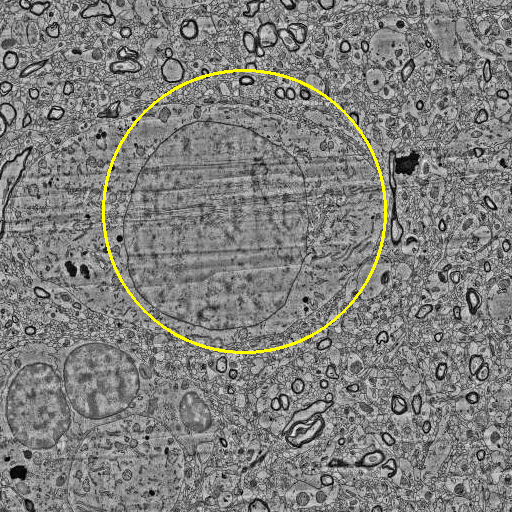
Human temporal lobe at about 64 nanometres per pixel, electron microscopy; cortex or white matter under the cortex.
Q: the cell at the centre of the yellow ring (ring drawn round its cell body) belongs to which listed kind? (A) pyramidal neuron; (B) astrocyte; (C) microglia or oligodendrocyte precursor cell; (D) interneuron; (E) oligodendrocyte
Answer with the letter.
A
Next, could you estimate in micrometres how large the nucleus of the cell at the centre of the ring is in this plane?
Roughly 13 micrometers across, in this plane.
